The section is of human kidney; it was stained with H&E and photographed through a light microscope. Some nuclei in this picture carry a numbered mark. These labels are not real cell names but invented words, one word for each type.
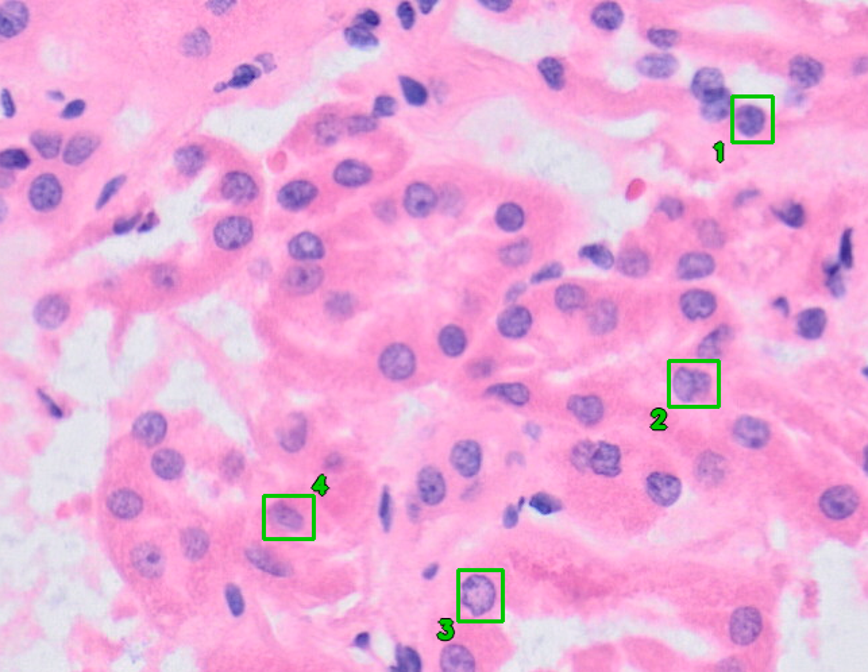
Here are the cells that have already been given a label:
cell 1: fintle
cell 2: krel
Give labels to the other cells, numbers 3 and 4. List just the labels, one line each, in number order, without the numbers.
krel
krel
